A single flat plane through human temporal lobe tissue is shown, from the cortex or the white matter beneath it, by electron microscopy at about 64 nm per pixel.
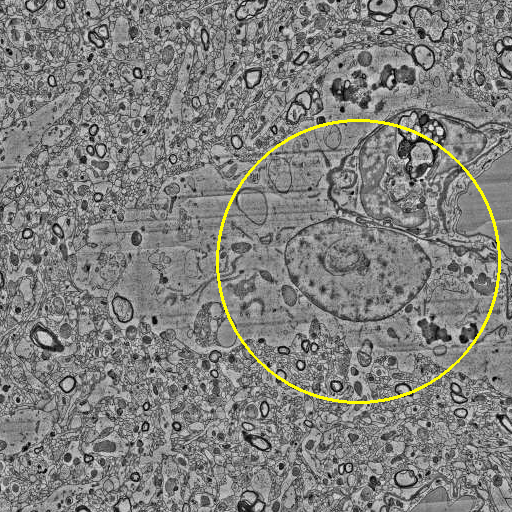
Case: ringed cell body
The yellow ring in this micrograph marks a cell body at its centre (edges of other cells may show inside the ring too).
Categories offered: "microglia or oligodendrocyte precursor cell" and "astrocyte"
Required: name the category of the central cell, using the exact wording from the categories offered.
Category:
astrocyte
